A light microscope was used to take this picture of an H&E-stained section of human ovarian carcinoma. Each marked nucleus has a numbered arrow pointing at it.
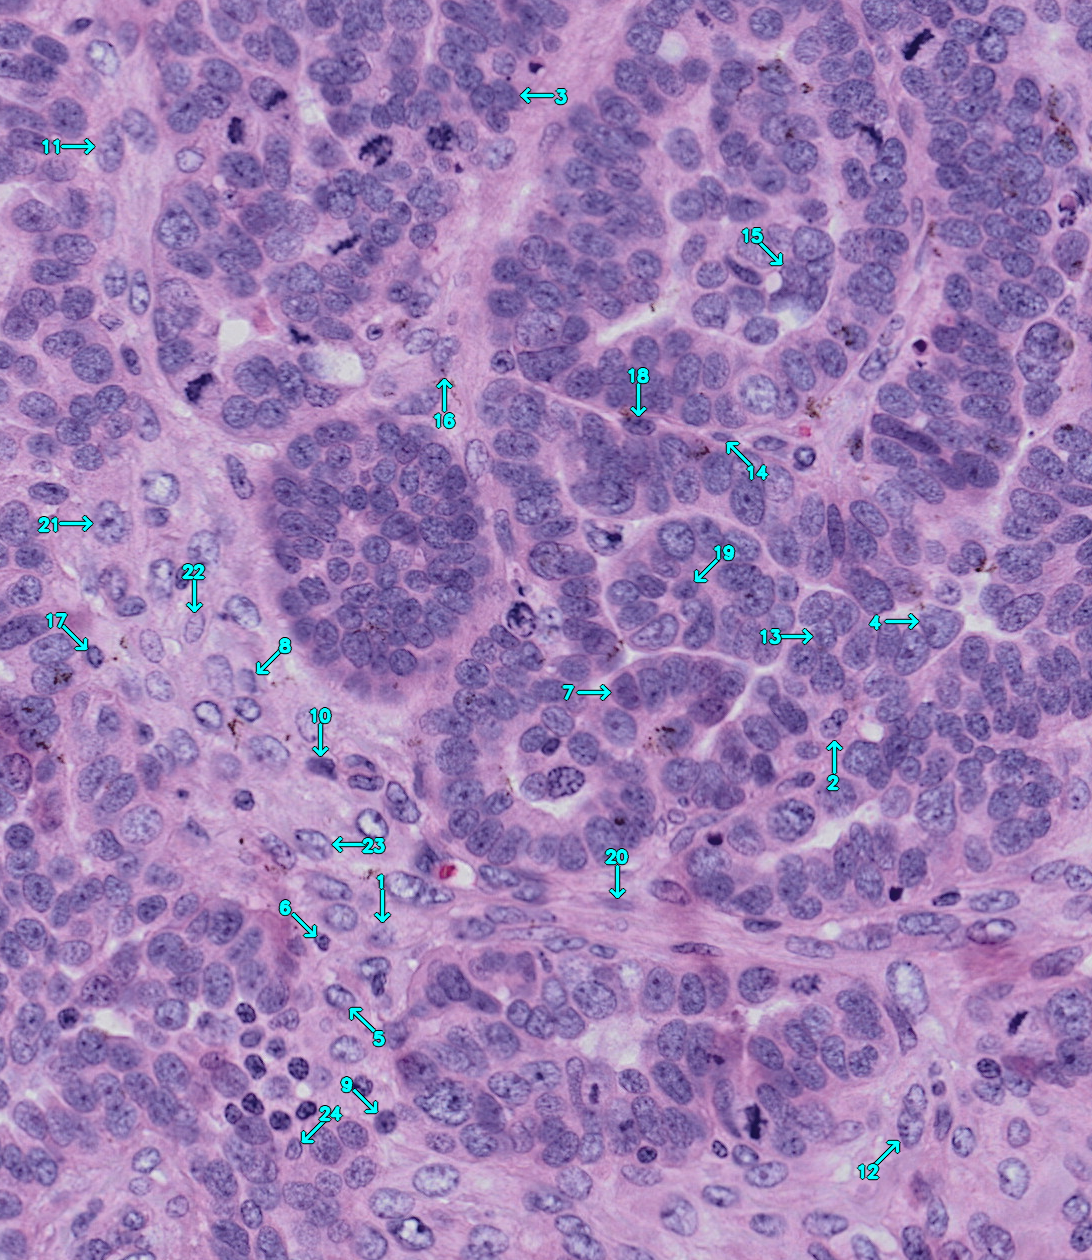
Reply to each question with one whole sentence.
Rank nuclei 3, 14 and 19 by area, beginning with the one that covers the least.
By area, going up from the smallest, they rank 14, 19, 3.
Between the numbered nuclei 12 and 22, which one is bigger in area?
It is nucleus 12, which covers about 1.5 times the area of nucleus 22.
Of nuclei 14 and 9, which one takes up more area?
It is nucleus 9, which covers about 2.5 times the area of nucleus 14.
